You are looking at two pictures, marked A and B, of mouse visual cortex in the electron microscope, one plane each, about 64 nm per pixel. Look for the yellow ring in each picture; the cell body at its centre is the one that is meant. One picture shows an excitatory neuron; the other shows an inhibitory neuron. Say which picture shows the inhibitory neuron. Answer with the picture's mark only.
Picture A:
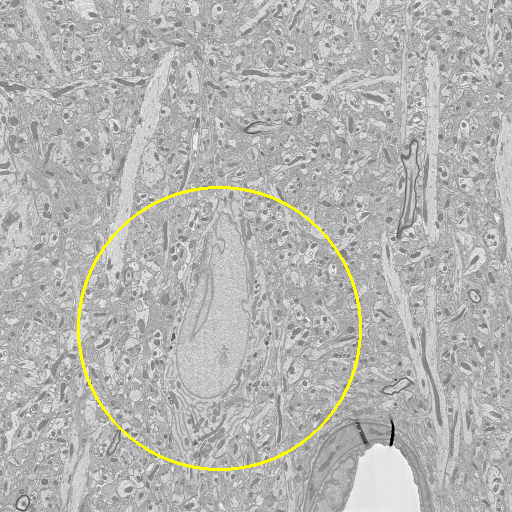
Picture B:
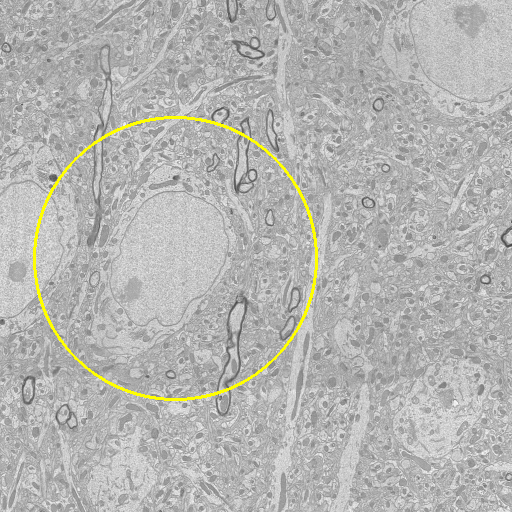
A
